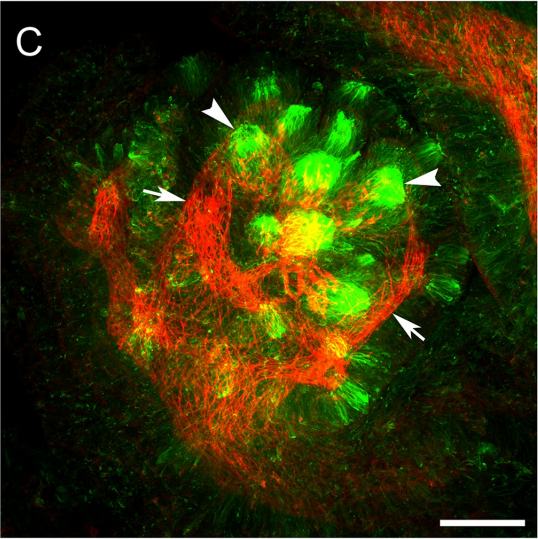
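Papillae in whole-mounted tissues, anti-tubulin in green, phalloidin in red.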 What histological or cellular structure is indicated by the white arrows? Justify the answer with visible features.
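A red meshwork of fine interwoven fibres. The red fibres run beside and beneath the green tufts.
Conclusion: muscle fibers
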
